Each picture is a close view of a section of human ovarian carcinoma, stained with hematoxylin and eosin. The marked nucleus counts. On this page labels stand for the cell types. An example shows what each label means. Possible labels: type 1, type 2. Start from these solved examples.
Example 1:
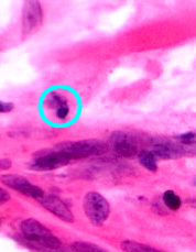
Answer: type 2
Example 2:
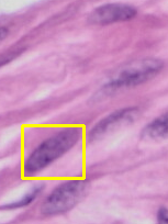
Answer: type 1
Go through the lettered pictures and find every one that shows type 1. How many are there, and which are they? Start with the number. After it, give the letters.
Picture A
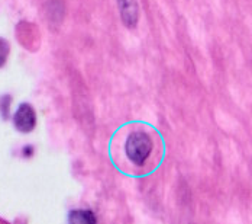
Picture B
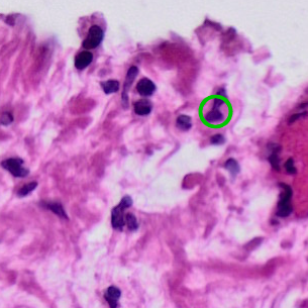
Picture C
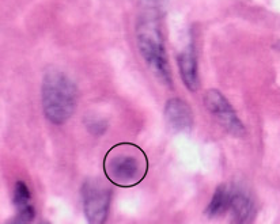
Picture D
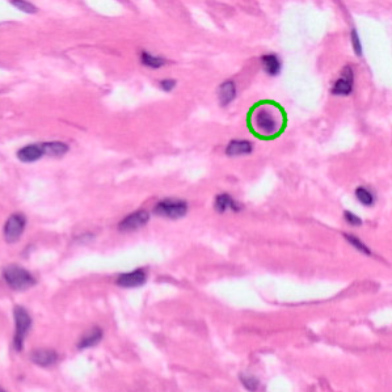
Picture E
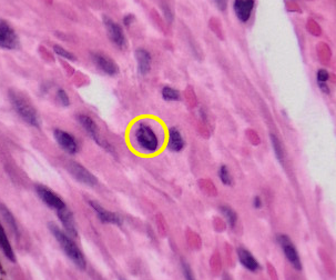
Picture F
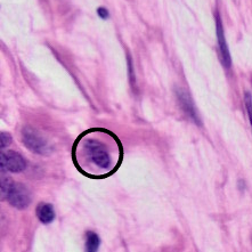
2, namely C, D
